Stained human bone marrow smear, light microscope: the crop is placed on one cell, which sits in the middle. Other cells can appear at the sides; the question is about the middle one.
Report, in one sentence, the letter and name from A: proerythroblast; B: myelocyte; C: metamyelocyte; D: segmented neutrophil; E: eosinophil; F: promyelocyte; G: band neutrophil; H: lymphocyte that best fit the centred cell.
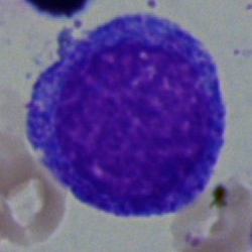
The correct identification, given in option F, is that the central cell is a promyelocyte.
